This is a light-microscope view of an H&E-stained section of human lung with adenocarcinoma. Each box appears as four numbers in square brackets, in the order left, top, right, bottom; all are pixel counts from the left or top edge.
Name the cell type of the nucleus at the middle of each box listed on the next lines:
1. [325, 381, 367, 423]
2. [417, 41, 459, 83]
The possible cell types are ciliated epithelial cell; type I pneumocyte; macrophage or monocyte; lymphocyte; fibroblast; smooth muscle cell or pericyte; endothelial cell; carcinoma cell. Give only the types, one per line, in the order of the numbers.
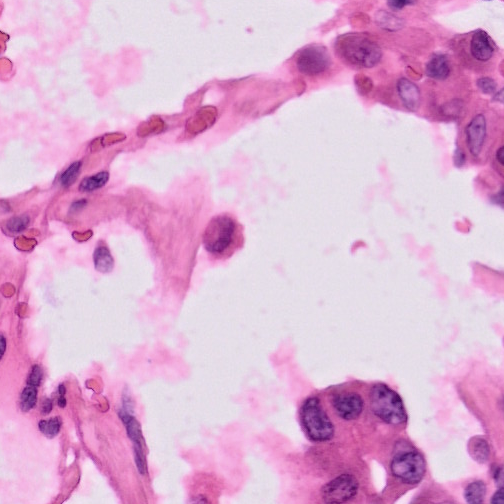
carcinoma cell
macrophage or monocyte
